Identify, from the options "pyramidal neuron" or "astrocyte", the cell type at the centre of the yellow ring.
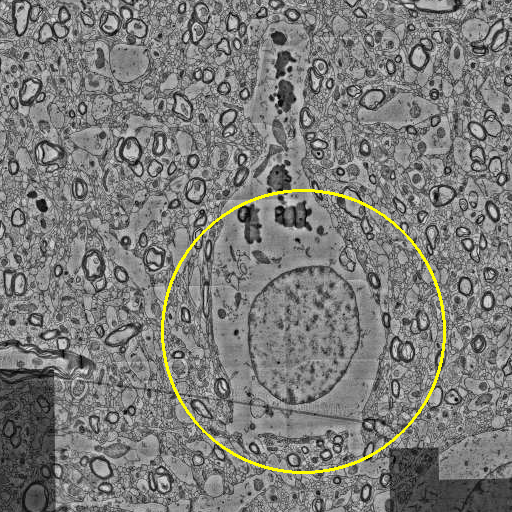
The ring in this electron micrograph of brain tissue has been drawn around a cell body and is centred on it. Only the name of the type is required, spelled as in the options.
astrocyte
